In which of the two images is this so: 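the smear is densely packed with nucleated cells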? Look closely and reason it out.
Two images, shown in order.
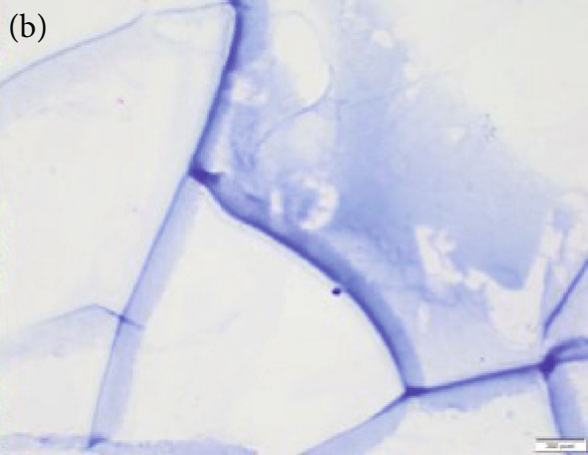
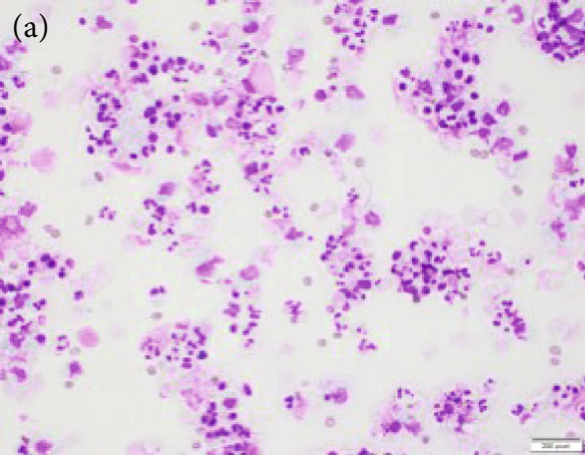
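First image: pale blue proteinaceous fluid with almost no cells. Second image: numerous clusters of cells with dark purple nuclei. On this evidence: the second image.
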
